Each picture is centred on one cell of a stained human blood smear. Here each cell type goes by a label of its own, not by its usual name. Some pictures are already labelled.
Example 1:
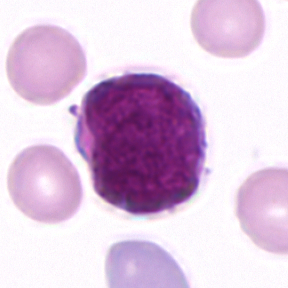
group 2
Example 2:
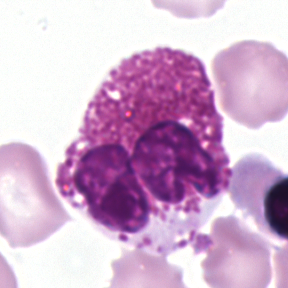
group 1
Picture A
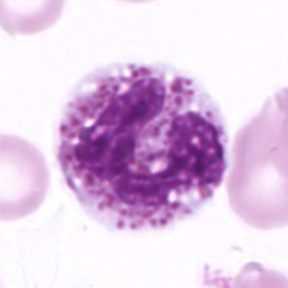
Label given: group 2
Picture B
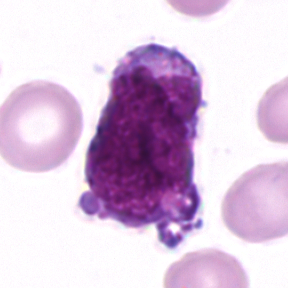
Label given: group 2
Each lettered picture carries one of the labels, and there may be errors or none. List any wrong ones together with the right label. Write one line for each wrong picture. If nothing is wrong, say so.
A: change group 2 to group 1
